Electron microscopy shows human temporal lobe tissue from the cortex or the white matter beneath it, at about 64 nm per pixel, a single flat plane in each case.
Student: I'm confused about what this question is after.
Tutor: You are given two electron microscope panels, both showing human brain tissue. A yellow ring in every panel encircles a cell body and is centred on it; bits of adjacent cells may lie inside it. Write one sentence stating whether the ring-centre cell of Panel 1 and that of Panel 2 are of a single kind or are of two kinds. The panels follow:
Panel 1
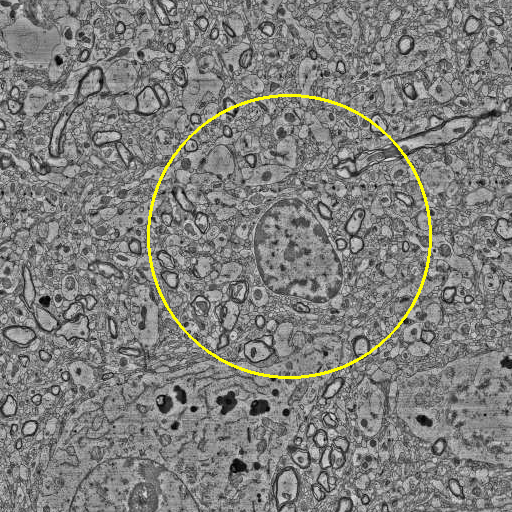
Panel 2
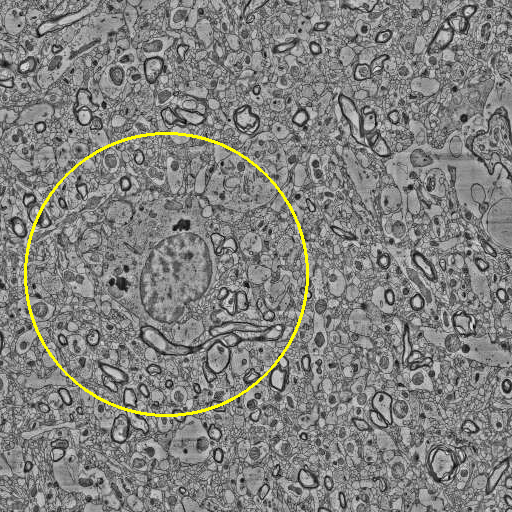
Here, the Panel 1 ring-centre cell and the Panel 2 ring-centre cell are of two kinds.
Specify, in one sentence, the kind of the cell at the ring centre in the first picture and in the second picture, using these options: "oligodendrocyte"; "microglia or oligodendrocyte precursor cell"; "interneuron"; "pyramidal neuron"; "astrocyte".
So the first is a microglial cell or oligodendrocyte precursor cell, the second an oligodendrocyte.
